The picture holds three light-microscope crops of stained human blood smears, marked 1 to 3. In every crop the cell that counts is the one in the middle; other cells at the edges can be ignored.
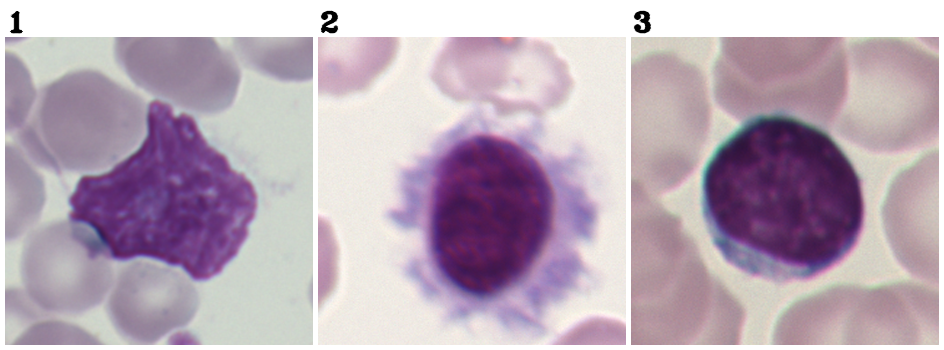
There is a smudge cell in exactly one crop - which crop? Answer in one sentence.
So the crop with a smudge cell at its center is crop 1.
